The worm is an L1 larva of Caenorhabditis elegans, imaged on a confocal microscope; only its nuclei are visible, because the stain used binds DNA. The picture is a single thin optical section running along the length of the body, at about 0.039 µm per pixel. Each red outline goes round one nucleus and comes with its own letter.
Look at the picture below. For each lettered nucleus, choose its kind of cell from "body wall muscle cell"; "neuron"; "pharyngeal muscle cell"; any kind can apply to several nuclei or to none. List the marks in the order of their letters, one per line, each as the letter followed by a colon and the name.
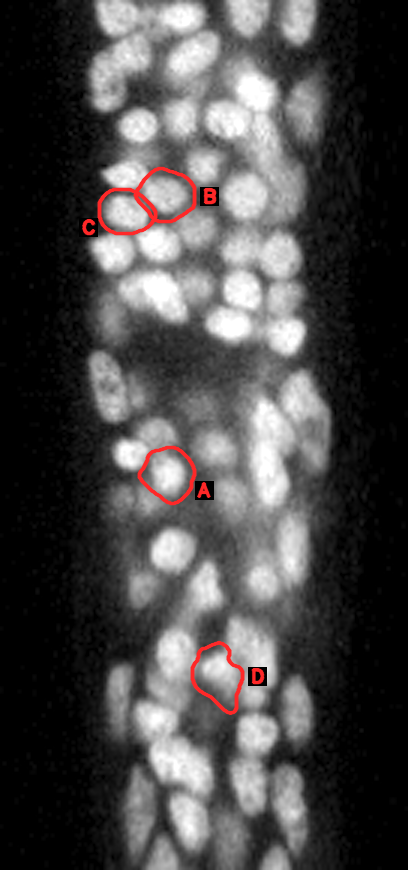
A: neuron
B: neuron
C: neuron
D: pharyngeal muscle cell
